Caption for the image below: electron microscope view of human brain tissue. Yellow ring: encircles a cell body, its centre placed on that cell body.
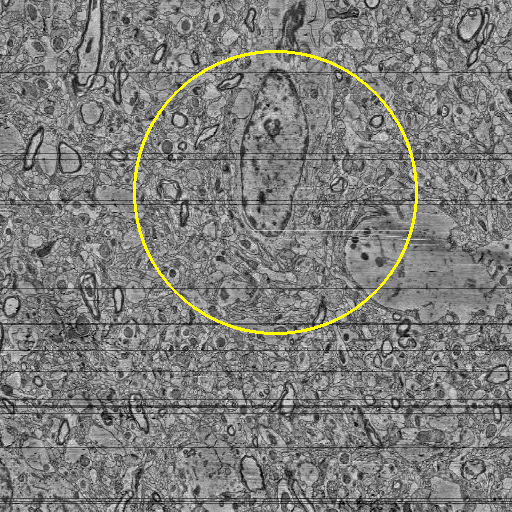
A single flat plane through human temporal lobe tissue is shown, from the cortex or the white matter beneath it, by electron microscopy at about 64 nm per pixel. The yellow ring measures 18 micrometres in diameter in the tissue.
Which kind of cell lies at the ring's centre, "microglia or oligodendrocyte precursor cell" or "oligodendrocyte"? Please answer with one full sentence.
The picture shows a microglial cell or oligodendrocyte precursor cell at the centre of the yellow ring.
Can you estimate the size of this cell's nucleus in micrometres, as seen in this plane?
About 11 by 4 micrometres in this plane; clearly longer than it is wide.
